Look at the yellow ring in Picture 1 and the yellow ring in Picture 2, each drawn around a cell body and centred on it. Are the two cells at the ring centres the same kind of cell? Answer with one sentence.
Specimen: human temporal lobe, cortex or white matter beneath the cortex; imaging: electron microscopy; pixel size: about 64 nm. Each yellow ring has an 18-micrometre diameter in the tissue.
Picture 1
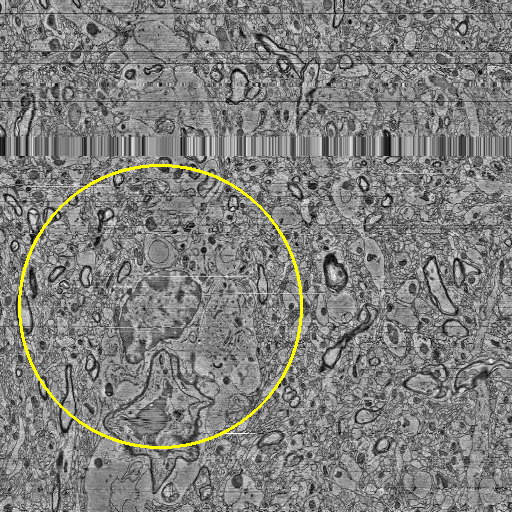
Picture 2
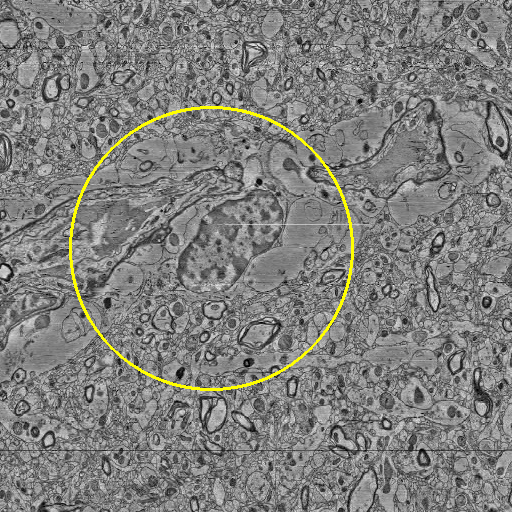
Yes, both are the same kind of cell.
